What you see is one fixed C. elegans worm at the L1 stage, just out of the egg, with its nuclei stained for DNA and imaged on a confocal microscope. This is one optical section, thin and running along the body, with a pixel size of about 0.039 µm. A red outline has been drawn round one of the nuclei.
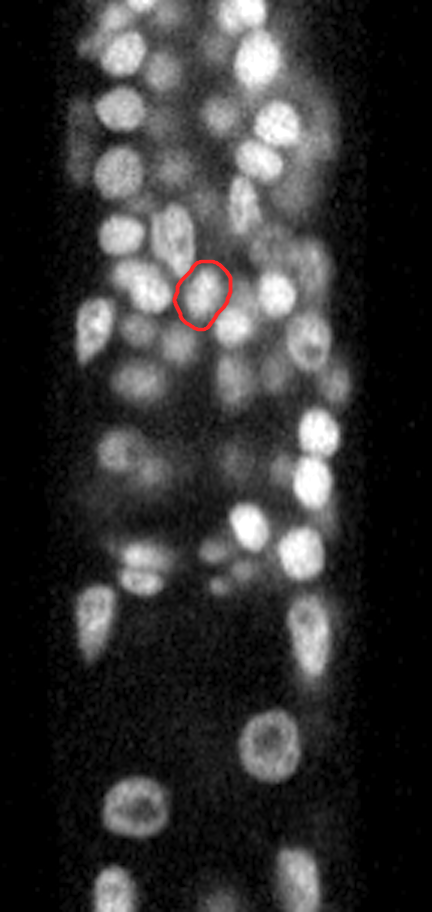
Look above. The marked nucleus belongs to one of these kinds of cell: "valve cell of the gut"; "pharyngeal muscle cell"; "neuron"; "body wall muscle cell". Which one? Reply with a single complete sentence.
The cell with the marked nucleus is a pharyngeal muscle cell.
